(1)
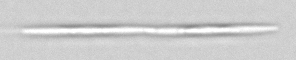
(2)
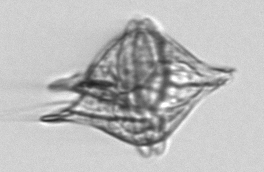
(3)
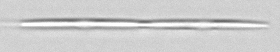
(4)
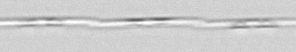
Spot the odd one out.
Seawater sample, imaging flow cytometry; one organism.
Picture 2 (Protoperidinium among Pseudo-nitzschia).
